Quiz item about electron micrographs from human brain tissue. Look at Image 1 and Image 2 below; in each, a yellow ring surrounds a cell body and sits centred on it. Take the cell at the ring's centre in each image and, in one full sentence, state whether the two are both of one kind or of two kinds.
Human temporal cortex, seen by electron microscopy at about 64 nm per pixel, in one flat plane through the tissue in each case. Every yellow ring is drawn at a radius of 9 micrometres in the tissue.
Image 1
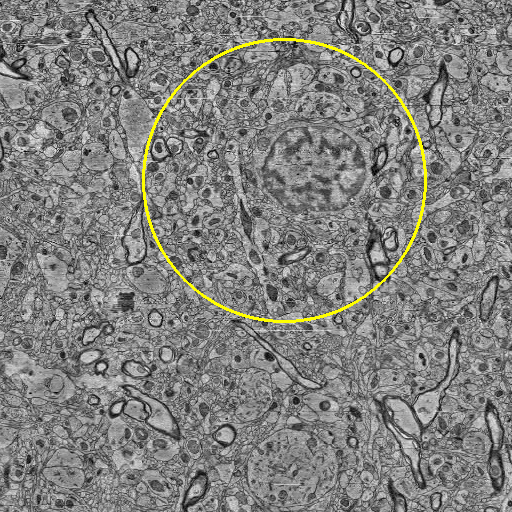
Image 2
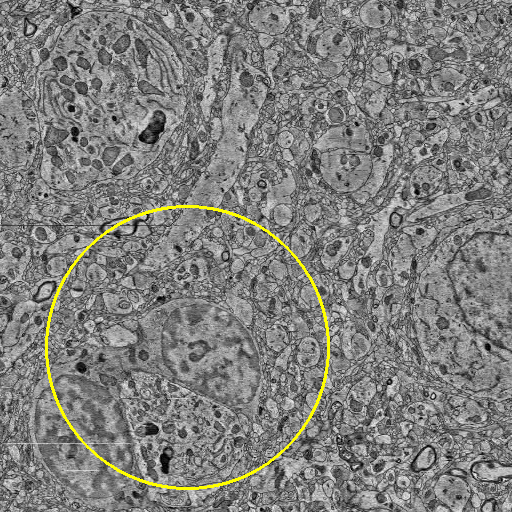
In Image 1 and Image 2, the cells at the ring centres are both of one kind.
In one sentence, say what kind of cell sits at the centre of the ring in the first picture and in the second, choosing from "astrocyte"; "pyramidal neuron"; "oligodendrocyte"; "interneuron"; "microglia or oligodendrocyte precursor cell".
Each one of the two ringed cells is an oligodendrocyte.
